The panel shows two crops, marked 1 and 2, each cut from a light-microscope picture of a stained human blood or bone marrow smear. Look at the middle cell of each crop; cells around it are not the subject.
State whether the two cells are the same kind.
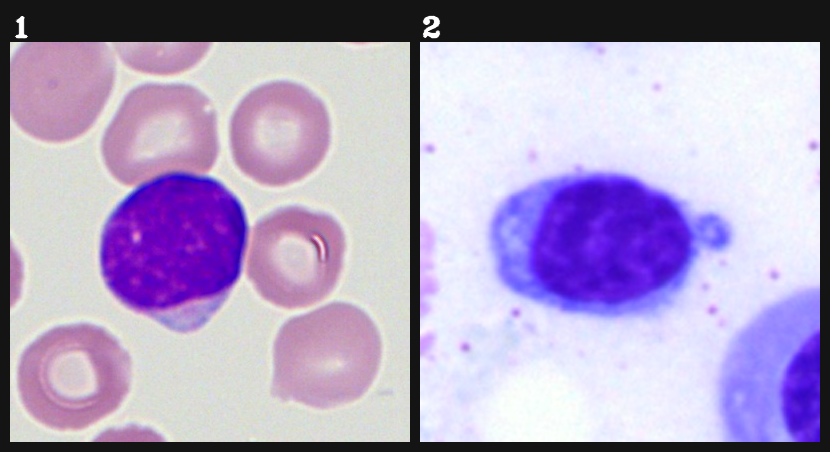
no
